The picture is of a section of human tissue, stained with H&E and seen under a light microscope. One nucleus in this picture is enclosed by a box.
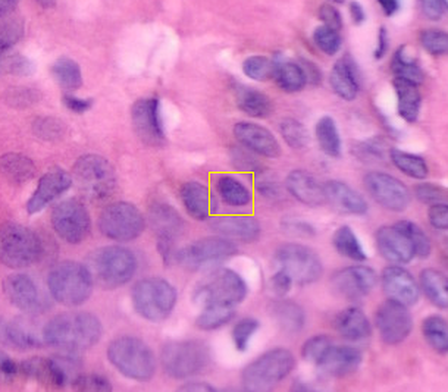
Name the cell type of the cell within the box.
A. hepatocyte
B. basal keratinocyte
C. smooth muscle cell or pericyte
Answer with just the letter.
B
